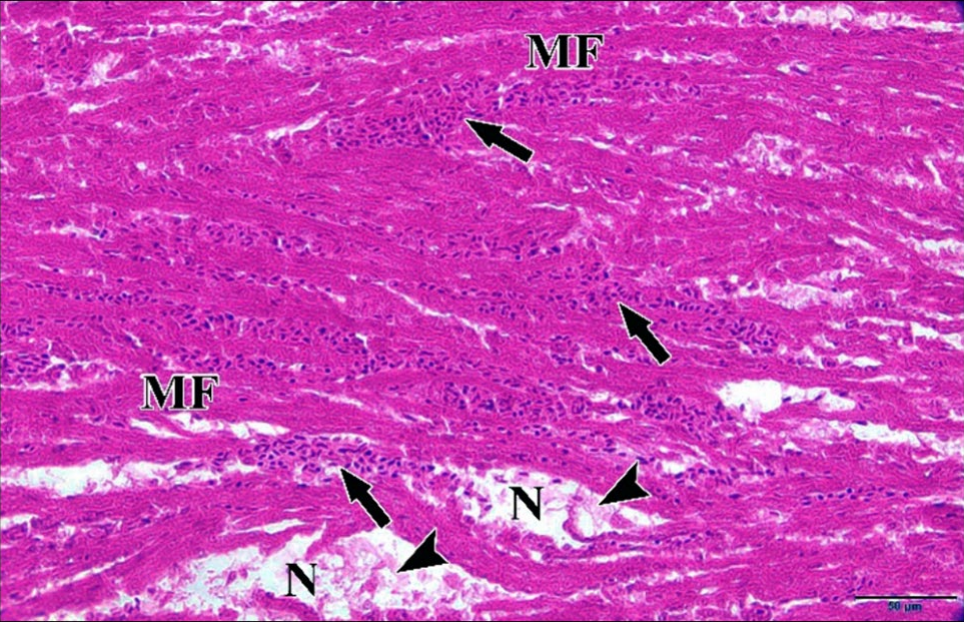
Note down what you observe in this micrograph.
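This is a longitudinal section of cardiac muscle, with long, deeply pink, branching muscle fibers running in parallel and elongated nuclei lying within them. Dense clusters of small, dark purple nuclei crowd the spaces between the fibers, consistent with inflammatory cell infiltration. In the lower part of the field, pale, largely empty spaces holding loose, faint pink material separate the fibers, consistent with edema.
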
